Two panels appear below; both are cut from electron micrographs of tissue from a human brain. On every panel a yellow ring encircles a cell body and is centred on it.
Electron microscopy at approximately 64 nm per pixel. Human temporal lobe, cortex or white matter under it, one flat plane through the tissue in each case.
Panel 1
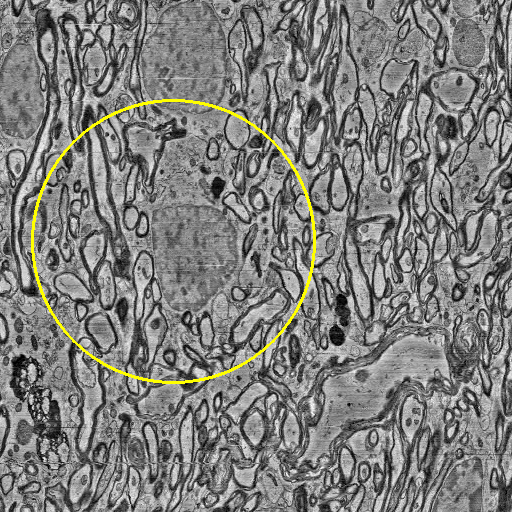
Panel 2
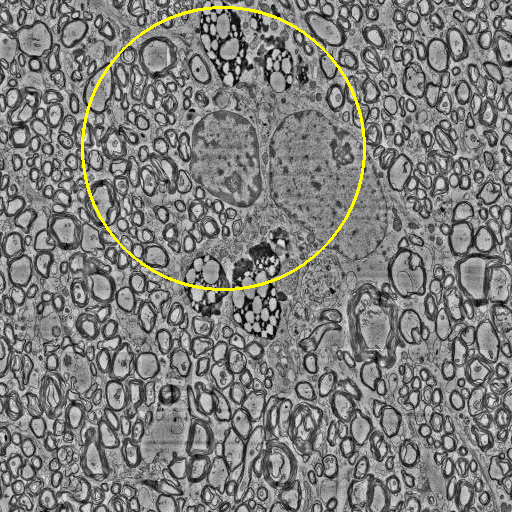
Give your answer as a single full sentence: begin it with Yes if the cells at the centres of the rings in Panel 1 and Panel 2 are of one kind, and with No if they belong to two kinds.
No, the cells in the middle of the rings in Panels 1 and 2 are of two kinds.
